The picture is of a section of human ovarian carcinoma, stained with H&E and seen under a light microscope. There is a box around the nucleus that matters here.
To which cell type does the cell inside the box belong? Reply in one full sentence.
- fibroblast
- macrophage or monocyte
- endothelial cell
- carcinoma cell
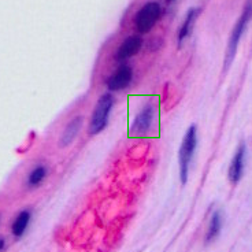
In this tissue section, the cell inside the box is to be classed as an endothelial cell.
